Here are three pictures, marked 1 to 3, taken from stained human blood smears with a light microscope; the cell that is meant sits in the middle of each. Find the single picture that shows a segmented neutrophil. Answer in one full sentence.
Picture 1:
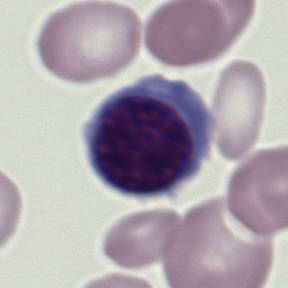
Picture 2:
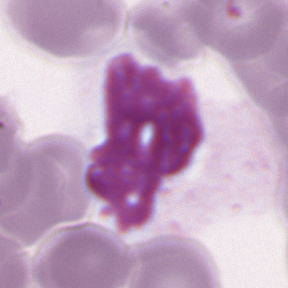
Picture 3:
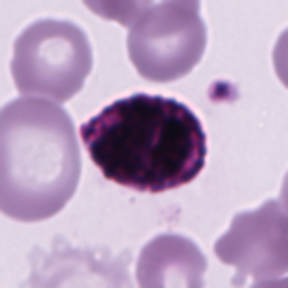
The cell in picture 2 is the segmented neutrophil.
